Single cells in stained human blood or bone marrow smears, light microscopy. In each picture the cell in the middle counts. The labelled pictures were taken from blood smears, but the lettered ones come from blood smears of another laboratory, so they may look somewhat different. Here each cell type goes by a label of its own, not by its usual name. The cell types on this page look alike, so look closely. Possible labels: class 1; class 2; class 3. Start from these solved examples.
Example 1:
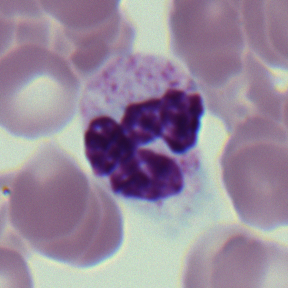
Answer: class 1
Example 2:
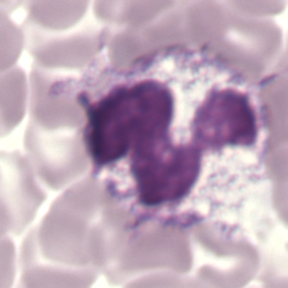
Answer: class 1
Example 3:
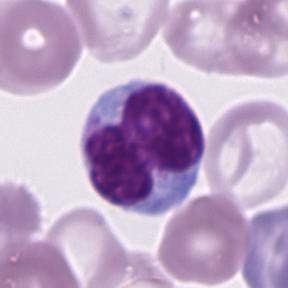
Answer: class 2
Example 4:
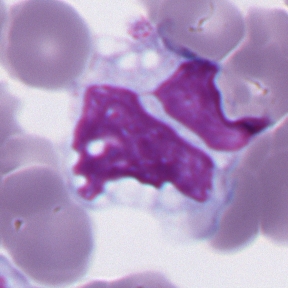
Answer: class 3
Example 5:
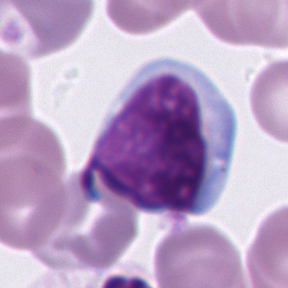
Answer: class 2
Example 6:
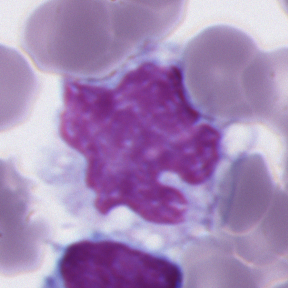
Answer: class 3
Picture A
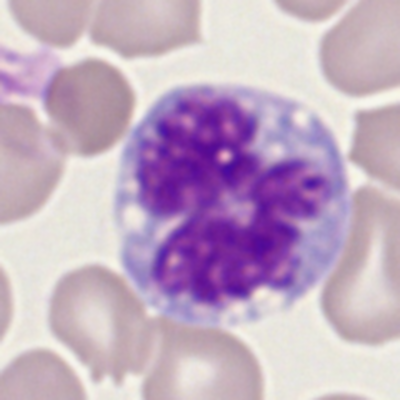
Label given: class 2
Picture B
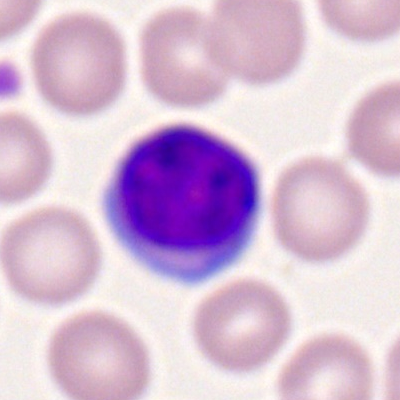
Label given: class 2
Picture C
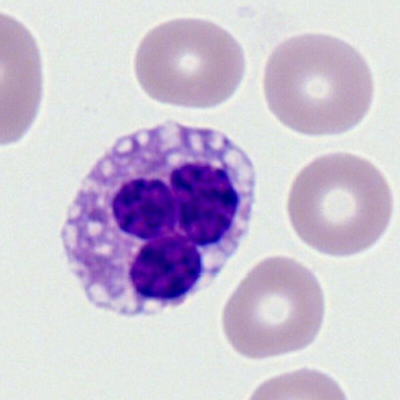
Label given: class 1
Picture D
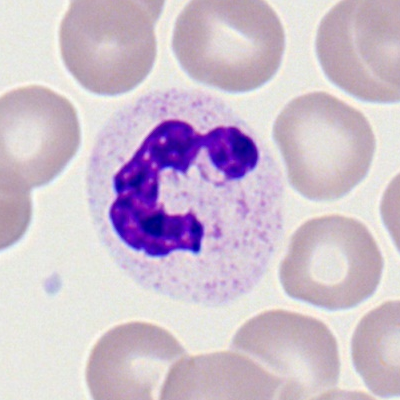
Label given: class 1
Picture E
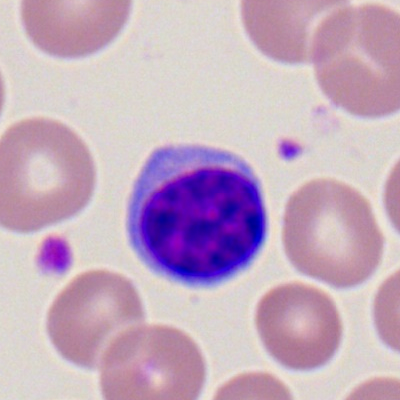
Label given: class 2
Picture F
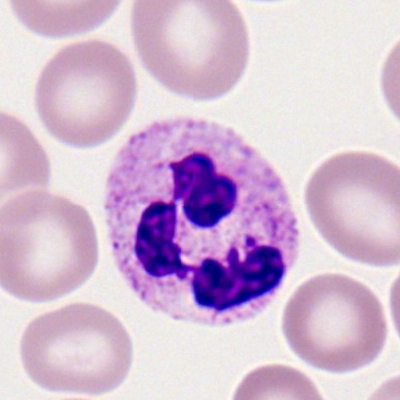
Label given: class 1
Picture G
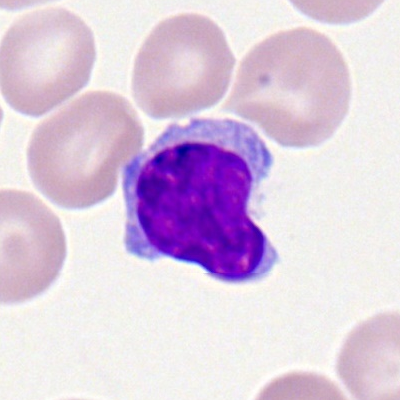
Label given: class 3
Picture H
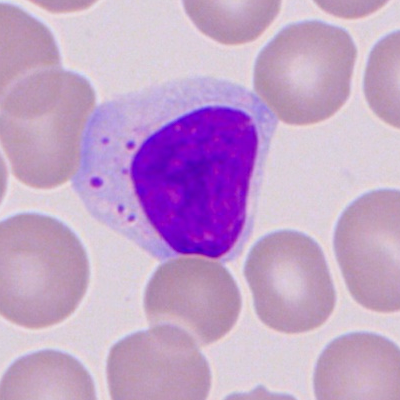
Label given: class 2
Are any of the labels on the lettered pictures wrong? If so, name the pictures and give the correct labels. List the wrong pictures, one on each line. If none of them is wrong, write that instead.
Wrong: A (class 2); correct: class 3
Wrong: G (class 3); correct: class 2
